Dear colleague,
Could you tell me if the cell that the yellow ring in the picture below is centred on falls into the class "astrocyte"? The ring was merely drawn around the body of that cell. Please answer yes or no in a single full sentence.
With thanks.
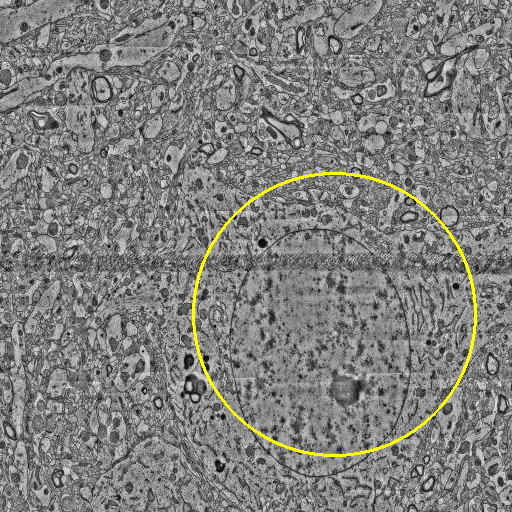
No, the cell on which the ring in your picture is centred falls into a different class.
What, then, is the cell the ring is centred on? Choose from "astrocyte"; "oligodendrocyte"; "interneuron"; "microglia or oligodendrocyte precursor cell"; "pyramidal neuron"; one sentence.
The answer is that the ringed cell is a pyramidal neuron.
